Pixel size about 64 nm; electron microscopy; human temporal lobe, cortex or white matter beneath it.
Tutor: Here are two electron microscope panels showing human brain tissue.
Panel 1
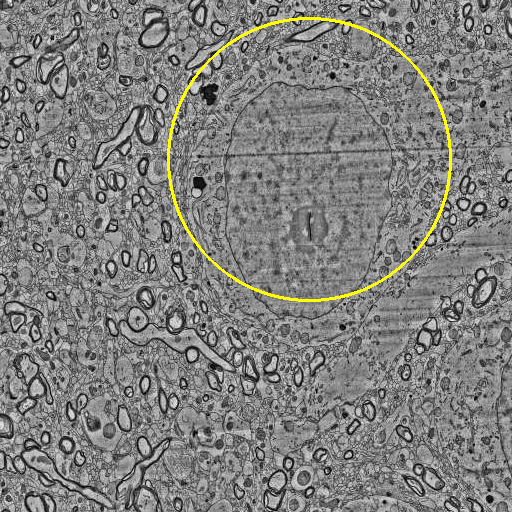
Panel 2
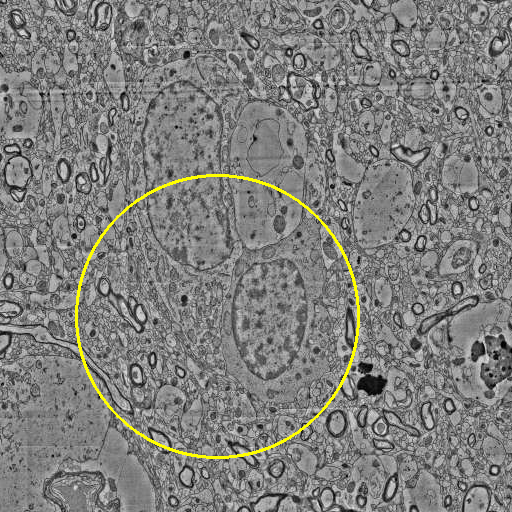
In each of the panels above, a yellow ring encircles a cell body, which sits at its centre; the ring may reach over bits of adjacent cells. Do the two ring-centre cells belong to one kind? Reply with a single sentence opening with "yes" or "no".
No, the two cells sitting at the ring centres in the panels belong to two kinds.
